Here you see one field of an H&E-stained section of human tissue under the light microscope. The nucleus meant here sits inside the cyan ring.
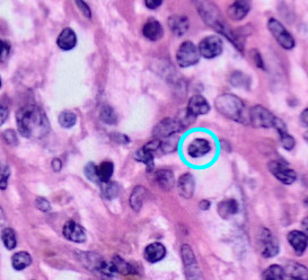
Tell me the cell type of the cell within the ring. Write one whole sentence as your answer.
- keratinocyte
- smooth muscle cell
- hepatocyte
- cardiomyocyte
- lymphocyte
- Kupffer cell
The cell within the ring appears to be a lymphocyte.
